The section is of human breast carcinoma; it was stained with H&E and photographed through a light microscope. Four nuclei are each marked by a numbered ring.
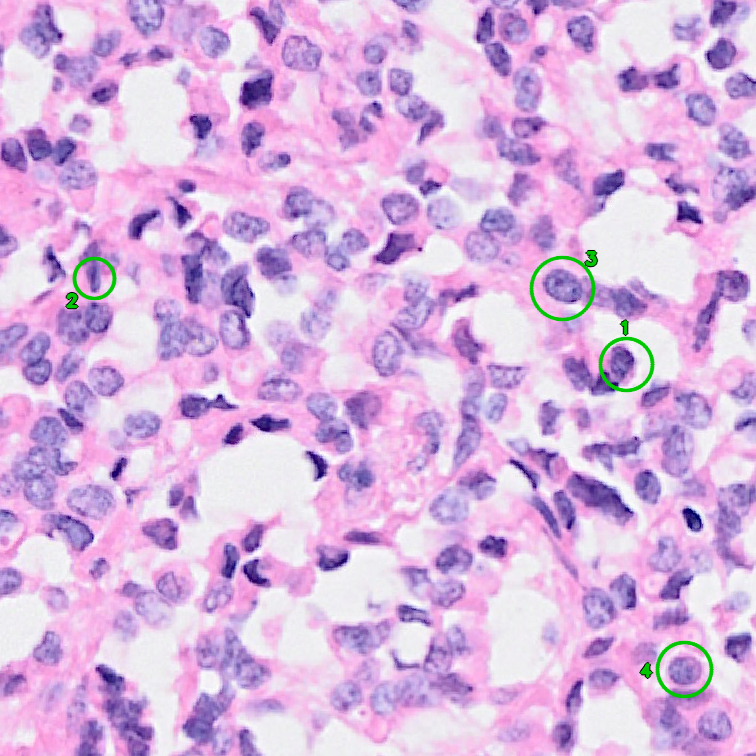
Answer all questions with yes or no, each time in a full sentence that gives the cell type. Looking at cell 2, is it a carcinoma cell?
No, the marked cell 2 is not a carcinoma cell, being instead an endothelial cell.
